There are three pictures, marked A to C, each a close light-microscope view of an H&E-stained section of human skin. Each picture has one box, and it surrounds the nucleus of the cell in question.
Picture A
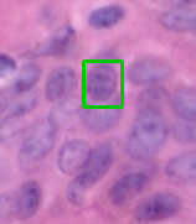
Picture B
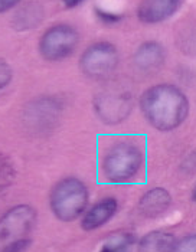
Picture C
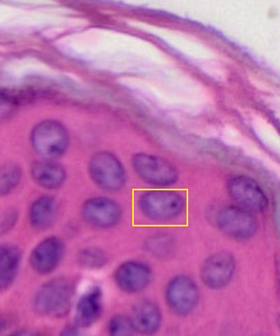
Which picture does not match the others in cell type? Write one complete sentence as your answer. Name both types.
The different one is picture A; it shows a basal keratinocyte, whereas all the others show suprabasal keratinocytes.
